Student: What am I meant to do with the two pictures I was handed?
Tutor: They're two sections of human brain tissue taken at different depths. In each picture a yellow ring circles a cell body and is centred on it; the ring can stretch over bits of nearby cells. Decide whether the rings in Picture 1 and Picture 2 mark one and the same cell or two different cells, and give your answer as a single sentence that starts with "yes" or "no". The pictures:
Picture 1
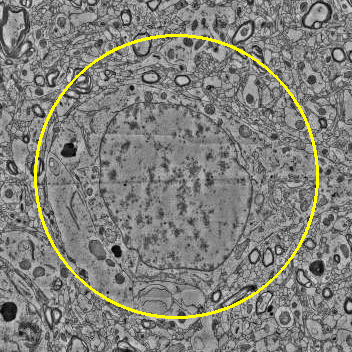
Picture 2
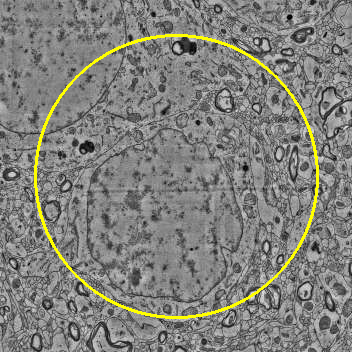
No, the two rings were placed on two different cells.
